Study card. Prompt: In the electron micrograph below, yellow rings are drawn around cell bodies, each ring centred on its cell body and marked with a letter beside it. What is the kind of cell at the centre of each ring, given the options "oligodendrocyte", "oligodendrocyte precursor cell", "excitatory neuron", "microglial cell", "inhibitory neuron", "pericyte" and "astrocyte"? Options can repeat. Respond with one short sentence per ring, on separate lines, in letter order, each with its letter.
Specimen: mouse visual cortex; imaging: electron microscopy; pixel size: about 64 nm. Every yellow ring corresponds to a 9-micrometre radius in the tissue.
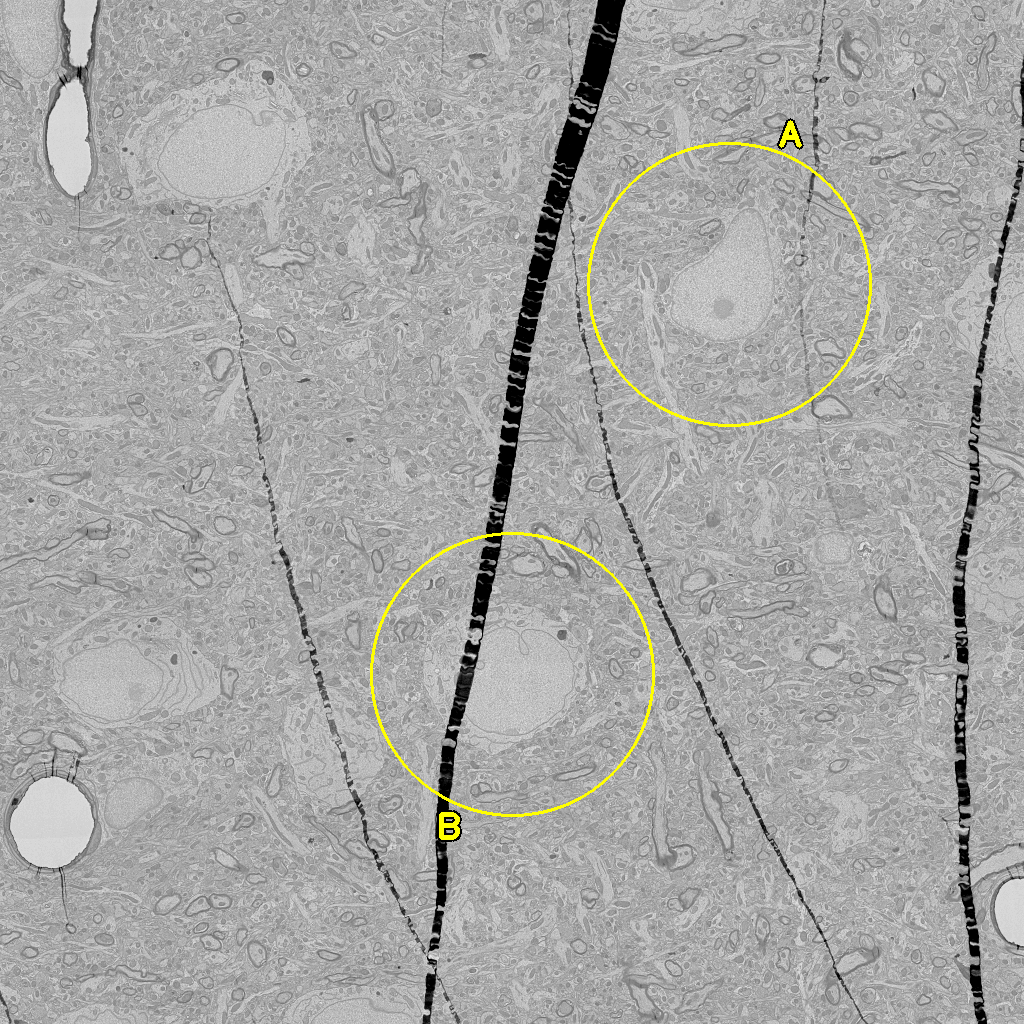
Ring A outlines an astrocyte.
Ring B outlines an excitatory neuron.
